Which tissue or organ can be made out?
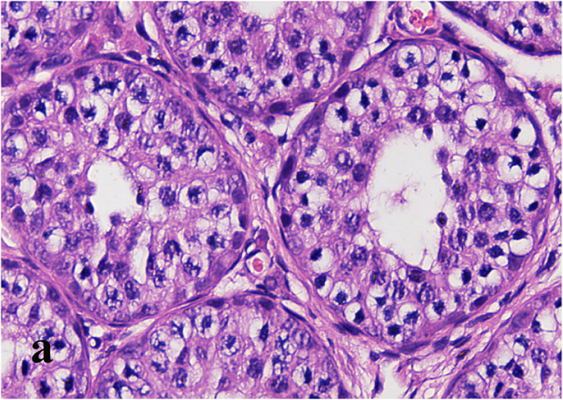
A: Testicles.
